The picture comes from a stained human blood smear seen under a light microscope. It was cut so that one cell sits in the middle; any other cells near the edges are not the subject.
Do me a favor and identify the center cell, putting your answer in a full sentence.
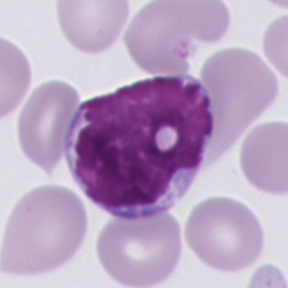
In the crop, the cell of interest at the centre is a large granular lymphocyte.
